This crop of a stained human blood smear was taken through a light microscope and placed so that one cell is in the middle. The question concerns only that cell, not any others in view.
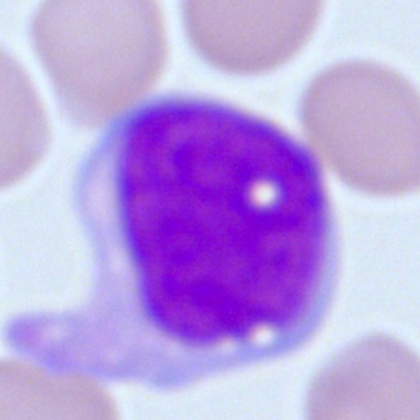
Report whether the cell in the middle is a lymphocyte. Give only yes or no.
no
